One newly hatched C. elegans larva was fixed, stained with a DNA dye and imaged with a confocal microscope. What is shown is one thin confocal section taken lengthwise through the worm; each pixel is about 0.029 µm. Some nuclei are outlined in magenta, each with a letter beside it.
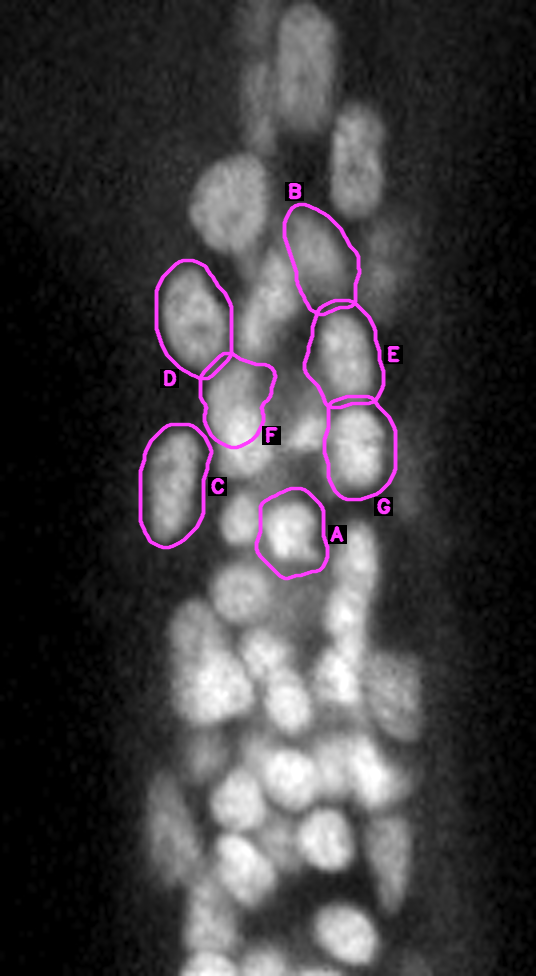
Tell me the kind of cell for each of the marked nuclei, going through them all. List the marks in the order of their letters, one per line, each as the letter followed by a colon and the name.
A: pharyngeal muscle cell
B: arcade cell
C: body wall muscle cell
D: body wall muscle cell
E: glial cell (sheath or socket)
F: glial cell (sheath or socket)
G: arcade cell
